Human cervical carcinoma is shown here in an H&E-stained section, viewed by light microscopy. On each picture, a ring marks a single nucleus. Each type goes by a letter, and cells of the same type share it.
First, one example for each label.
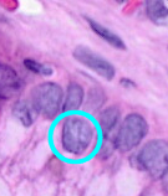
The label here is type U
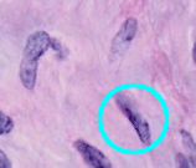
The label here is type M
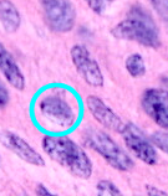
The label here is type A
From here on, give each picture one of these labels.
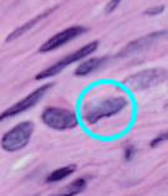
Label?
type M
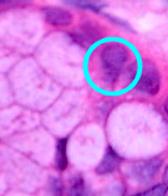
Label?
type U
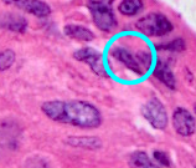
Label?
type A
